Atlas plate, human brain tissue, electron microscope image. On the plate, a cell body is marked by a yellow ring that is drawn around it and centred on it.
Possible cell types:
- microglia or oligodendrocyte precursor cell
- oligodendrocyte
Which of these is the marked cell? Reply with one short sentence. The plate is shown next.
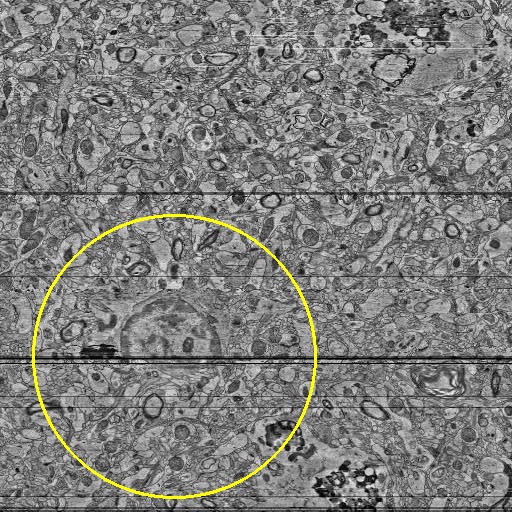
The marked cell is an oligodendrocyte.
